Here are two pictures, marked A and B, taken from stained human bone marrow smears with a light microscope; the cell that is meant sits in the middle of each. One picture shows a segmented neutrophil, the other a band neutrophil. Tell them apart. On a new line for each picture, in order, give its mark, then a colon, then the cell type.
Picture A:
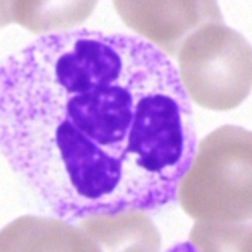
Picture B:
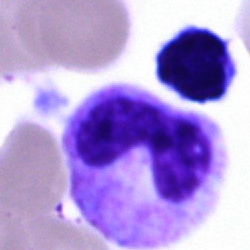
A: segmented neutrophil
B: band neutrophil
